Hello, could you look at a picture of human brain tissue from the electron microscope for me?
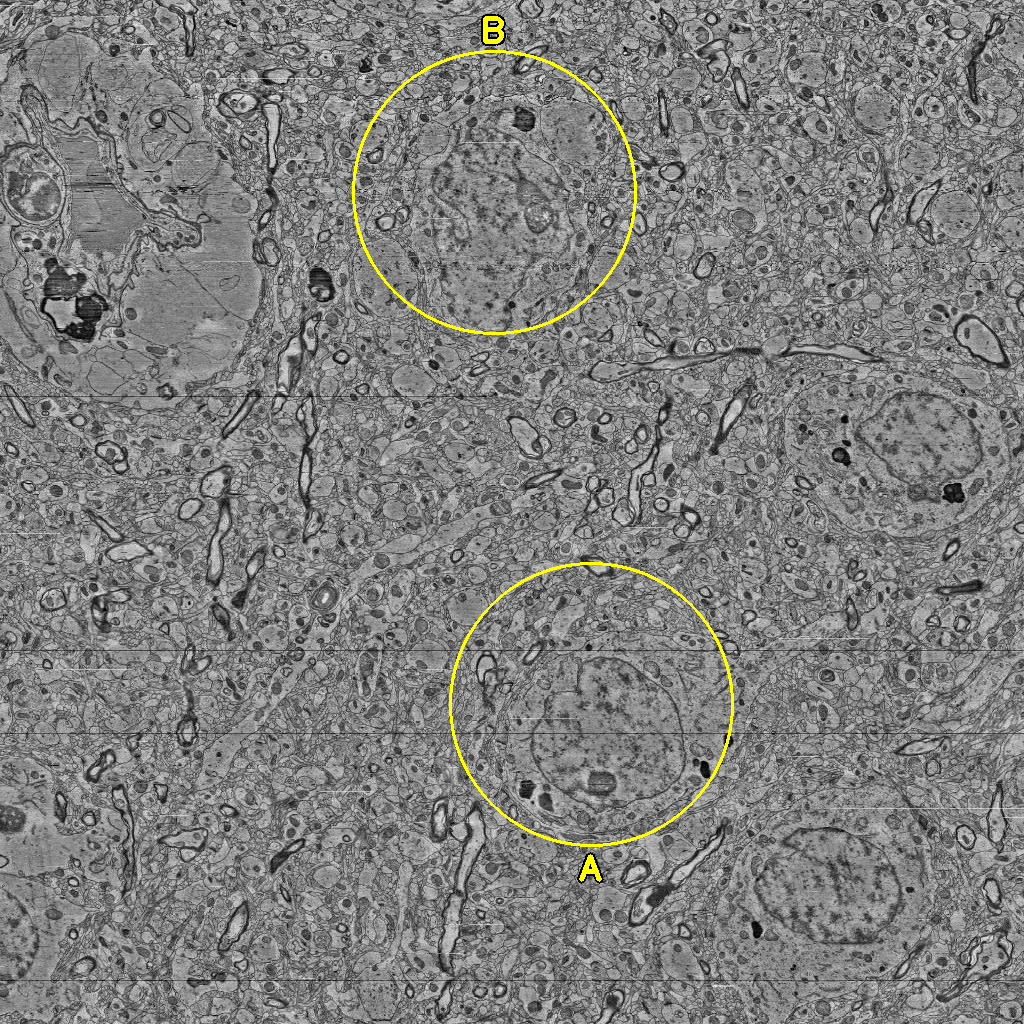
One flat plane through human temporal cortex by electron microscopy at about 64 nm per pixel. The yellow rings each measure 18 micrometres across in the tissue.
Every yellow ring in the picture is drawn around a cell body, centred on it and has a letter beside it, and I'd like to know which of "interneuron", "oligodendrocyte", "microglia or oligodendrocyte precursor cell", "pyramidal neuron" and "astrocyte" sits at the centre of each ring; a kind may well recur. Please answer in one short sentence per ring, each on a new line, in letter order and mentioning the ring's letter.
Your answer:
The cell sitting at the centre of ring A is a pyramidal neuron.
The cell sitting at the centre of ring B is an interneuron.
